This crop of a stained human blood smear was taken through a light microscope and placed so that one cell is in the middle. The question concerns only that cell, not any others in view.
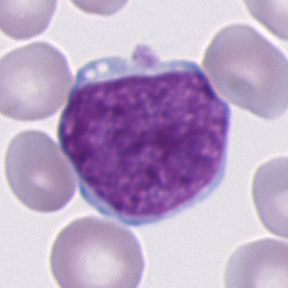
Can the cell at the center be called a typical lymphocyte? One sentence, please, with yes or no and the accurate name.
No, the centre of the crop is taken up by a myeloblast, not a typical lymphocyte.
